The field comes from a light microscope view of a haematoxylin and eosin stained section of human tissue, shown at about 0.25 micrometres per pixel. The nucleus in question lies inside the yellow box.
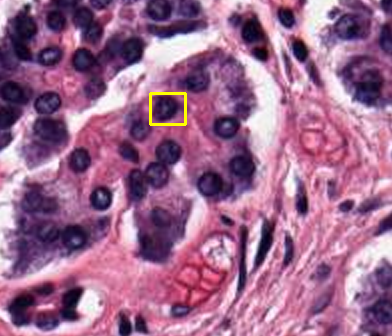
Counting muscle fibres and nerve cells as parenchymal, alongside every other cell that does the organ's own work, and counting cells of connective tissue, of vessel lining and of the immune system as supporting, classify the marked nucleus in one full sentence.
The parenchymal cell containing the marked nucleus is a pancreatic acinar cell.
